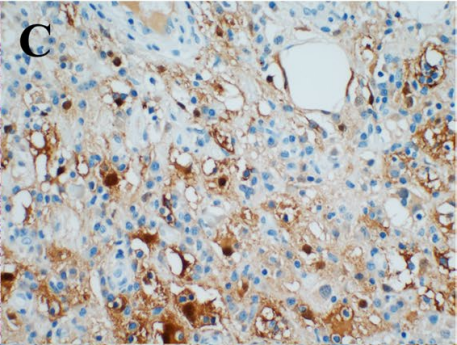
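Large histiocytes show strong brown staining of their ample cytoplasm and some nuclei, set among small unstained cells with round blue nuclei. Many of the brown cells contain clear rounded spaces, and within several of these lie small intact cells with round nuclei, the picture of emperipolesis. The histiocytes are irregular in outline and scattered across a loose background. A larger clear rounded space, likely a vessel lumen, lies near the top. The small lymphoid cells between the histiocytes remain blue and unstained.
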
